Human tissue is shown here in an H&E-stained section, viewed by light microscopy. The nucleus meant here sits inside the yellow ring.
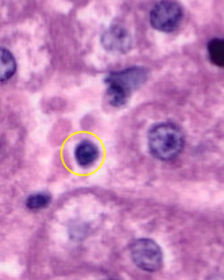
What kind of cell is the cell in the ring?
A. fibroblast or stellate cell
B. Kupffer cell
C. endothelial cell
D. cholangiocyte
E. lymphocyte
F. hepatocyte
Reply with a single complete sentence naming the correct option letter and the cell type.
Option E holds, since the cell in the ring is a lymphocyte.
